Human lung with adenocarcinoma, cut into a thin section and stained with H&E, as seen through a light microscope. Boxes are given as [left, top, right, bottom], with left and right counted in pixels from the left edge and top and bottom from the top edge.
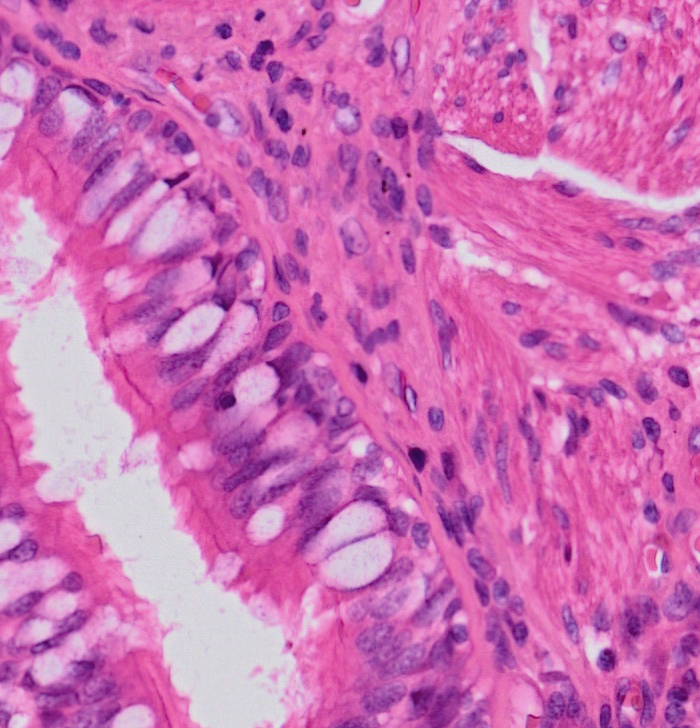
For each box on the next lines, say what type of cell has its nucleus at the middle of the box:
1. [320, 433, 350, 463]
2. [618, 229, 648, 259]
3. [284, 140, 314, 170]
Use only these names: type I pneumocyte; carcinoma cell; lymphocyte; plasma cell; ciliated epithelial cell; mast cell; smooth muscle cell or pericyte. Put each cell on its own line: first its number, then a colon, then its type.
1: ciliated epithelial cell
2: smooth muscle cell or pericyte
3: lymphocyte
